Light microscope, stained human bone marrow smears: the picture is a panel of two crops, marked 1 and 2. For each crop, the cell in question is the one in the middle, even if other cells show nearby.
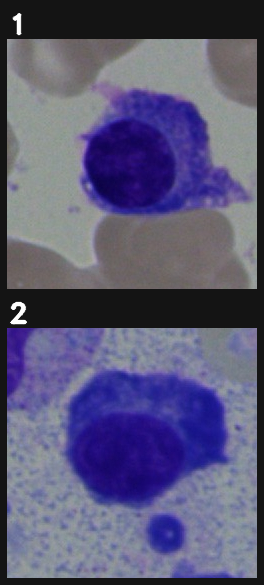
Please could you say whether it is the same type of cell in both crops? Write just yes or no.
yes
